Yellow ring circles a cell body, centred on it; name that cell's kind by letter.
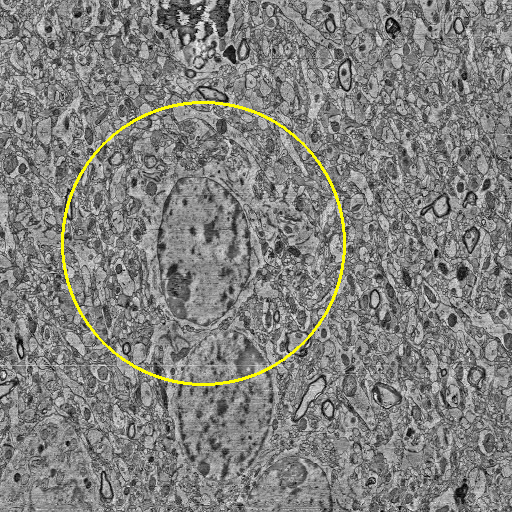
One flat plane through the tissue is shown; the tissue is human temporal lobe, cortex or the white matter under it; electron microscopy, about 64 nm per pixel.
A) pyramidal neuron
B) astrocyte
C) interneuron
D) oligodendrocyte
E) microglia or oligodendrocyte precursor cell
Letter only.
B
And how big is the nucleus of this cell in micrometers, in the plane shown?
The nucleus comes to approximately 10 by 6 micrometres and is clearly longer than it is wide in this plane.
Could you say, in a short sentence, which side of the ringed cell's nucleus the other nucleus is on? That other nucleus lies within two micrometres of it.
That other nucleus lies below it.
